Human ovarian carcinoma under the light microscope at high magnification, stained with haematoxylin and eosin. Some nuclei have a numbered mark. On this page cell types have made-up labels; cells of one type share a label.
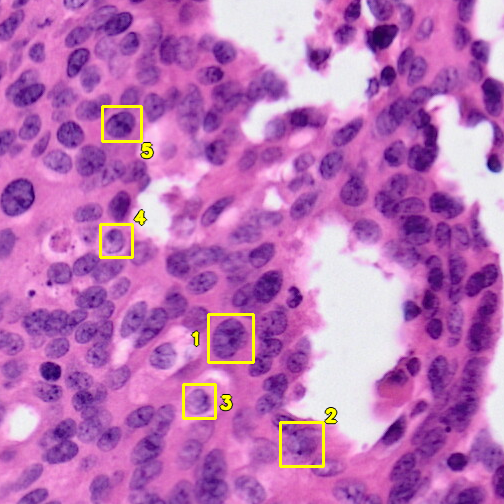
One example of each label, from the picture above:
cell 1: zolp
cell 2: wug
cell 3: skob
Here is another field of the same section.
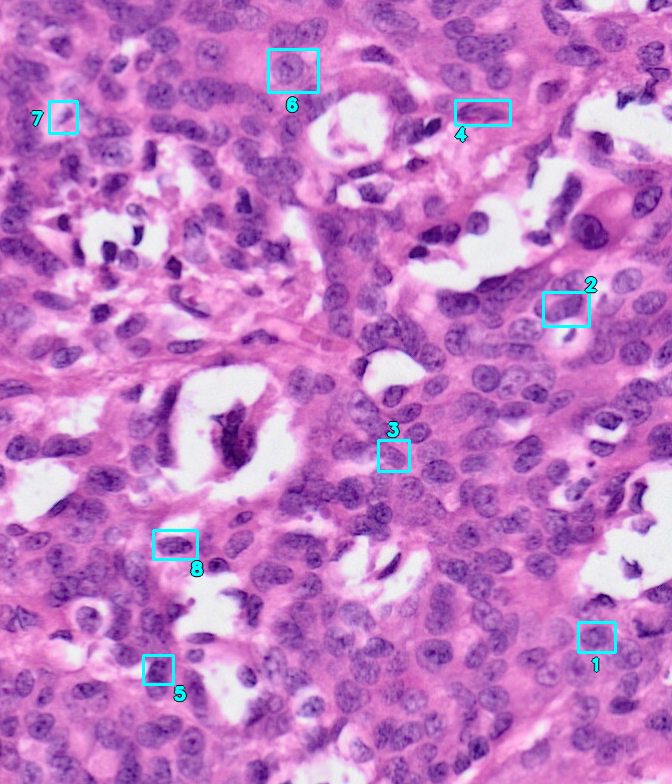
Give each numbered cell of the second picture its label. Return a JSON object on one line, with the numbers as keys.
{"1": "zolp", "2": "zolp", "3": "zolp", "4": "wug", "5": "zolp", "6": "zolp", "7": "skob", "8": "skob"}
